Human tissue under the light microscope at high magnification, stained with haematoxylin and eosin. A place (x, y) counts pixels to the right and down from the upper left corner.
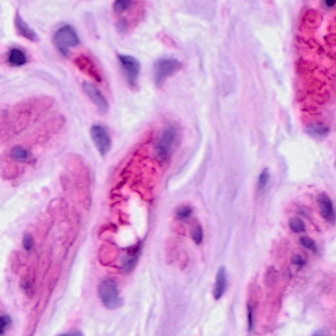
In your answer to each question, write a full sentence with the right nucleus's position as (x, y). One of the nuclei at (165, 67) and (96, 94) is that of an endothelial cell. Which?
Of the pair, the nucleus located at (96, 94) belongs to an endothelial cell.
